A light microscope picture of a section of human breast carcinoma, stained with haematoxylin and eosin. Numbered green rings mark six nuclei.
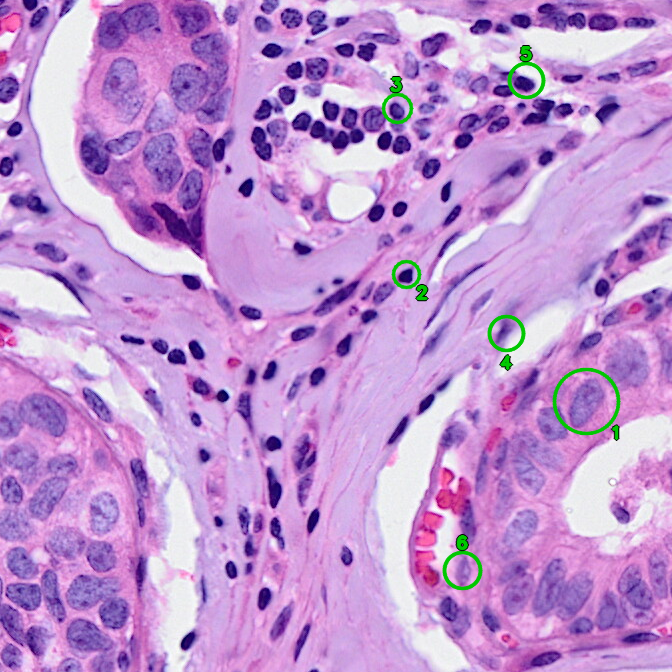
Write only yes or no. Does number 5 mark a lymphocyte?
yes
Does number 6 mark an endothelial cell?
yes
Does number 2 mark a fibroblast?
no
